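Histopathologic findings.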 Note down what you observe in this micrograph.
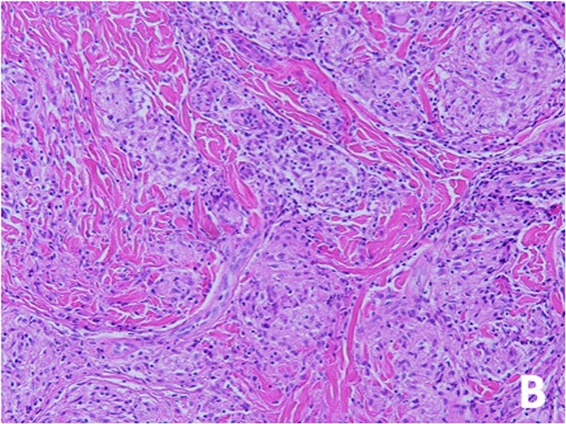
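Dermis with several rounded granulomas made of closely packed epithelioid histiocytes. These cells have ample pale pink, finely granular cytoplasm and oval, pale, elongated nuclei, and their borders merge so the nests look like pale whorled islands. Around and between the nests lie small cells with dense, round, dark purple nuclei and scant cytoplasm, consistent with lymphocytes. Thick, wavy, bright pink collagen bundles run between the granulomas and separate them from each other. No central necrosis is seen within the nests.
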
